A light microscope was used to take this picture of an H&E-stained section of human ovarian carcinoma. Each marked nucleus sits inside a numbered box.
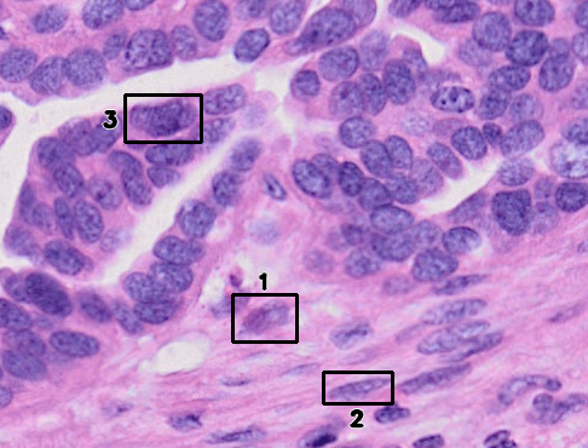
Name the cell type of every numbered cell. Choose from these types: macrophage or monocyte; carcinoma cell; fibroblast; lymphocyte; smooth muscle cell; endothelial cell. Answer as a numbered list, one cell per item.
1. fibroblast
2. fibroblast
3. carcinoma cell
